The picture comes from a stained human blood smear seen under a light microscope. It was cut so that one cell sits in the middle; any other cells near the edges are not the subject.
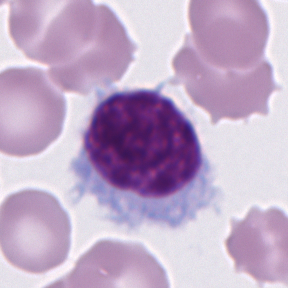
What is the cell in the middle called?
hairy cell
